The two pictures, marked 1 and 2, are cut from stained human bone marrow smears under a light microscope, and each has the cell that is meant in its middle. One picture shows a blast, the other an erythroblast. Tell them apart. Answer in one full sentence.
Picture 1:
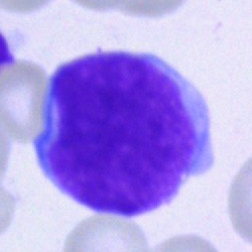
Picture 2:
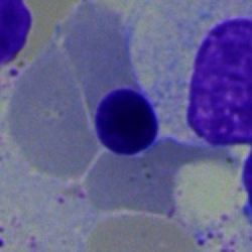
Picture 1 shows a blast and picture 2 shows an erythroblast.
